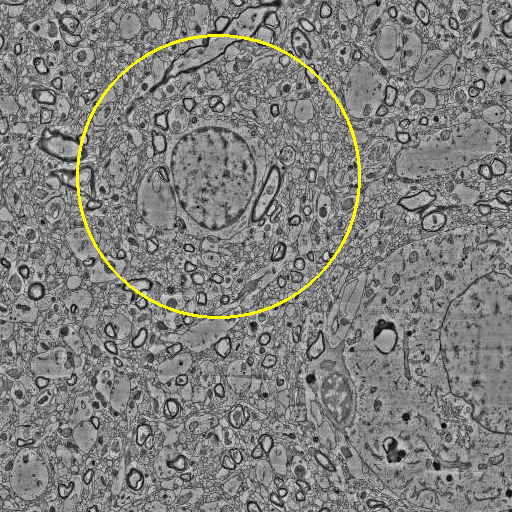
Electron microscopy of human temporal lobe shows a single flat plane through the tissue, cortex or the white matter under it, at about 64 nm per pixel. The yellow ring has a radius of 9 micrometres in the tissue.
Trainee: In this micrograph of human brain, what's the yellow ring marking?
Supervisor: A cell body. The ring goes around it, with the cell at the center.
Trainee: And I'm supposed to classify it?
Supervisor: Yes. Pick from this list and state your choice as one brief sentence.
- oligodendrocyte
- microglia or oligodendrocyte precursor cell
The cell at the ring's center is a microglial cell or oligodendrocyte precursor cell.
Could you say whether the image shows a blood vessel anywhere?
No, there is none.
